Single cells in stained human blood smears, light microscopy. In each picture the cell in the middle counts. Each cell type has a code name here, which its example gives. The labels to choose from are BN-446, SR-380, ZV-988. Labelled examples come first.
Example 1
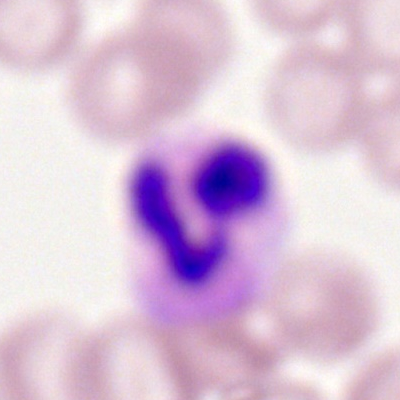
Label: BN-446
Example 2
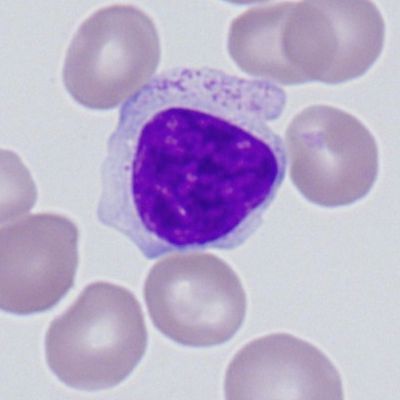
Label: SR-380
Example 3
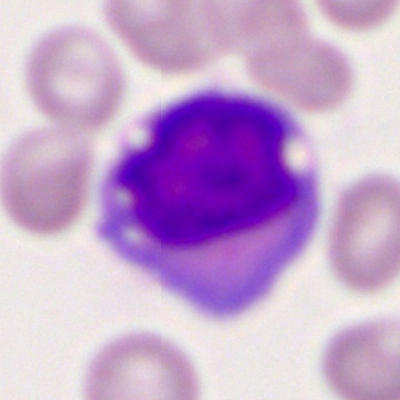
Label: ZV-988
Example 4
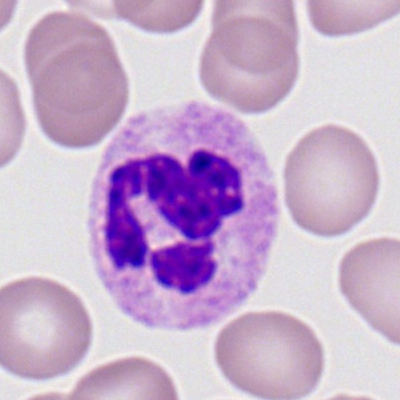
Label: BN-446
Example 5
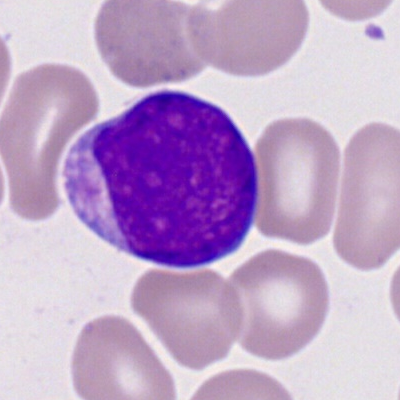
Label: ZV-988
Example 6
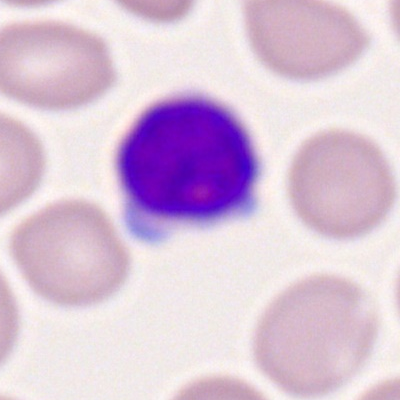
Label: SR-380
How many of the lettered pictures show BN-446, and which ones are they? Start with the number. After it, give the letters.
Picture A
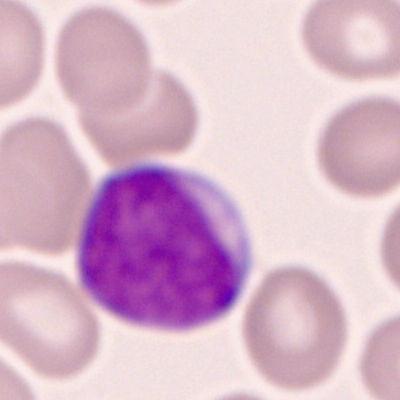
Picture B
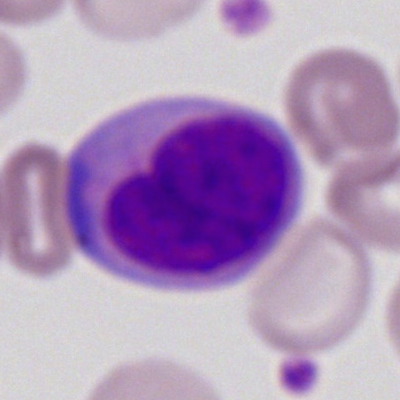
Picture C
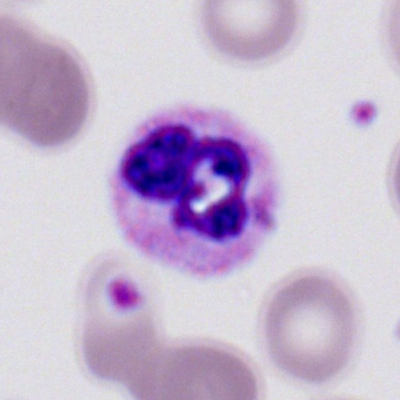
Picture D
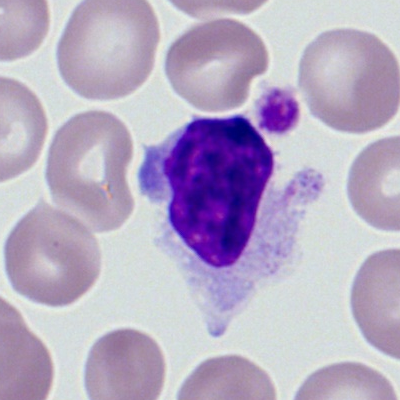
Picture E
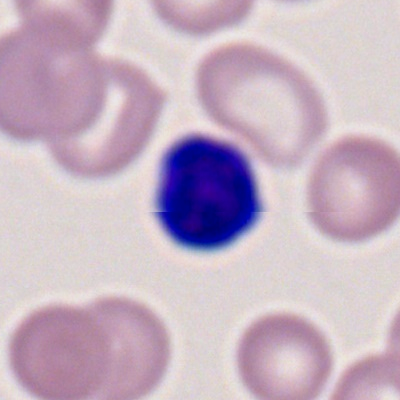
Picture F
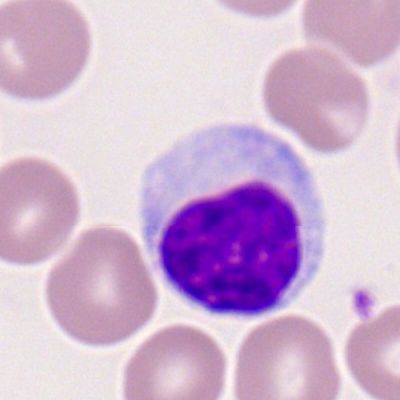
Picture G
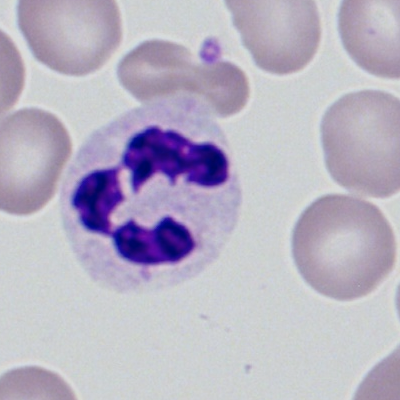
2, namely C, G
